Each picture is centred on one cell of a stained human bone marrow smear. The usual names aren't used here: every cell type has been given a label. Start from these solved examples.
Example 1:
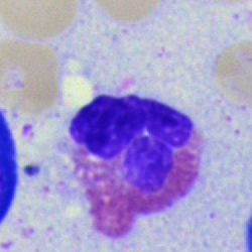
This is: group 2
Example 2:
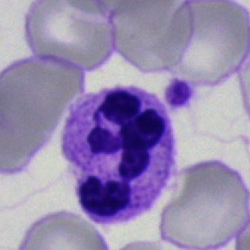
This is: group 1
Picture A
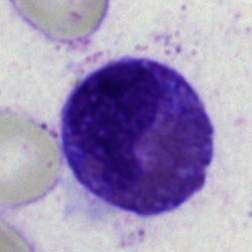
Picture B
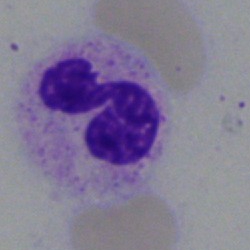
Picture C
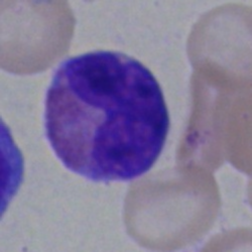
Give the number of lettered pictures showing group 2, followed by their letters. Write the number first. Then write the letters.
2: A, C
